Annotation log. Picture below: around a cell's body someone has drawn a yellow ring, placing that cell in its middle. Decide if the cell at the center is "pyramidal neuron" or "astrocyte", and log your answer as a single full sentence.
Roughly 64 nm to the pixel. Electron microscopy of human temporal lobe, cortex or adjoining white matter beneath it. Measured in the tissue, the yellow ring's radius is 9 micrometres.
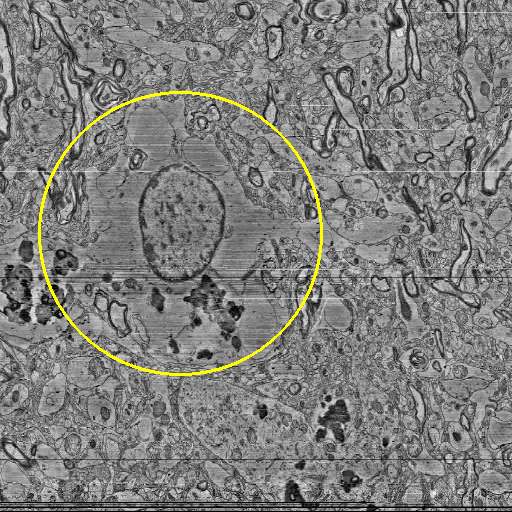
My entry records an astrocyte as the cell sitting at the center of the yellow ring.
